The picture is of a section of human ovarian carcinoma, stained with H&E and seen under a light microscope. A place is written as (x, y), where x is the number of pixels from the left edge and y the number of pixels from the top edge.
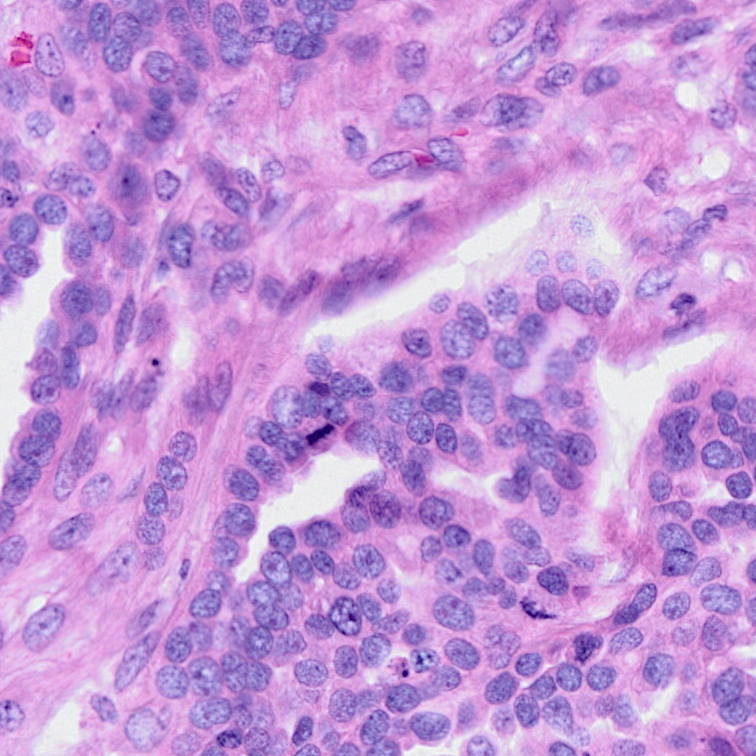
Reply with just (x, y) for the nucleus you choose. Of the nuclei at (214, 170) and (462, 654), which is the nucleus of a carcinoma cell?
(462, 654)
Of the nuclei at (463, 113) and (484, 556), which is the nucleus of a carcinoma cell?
(484, 556)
